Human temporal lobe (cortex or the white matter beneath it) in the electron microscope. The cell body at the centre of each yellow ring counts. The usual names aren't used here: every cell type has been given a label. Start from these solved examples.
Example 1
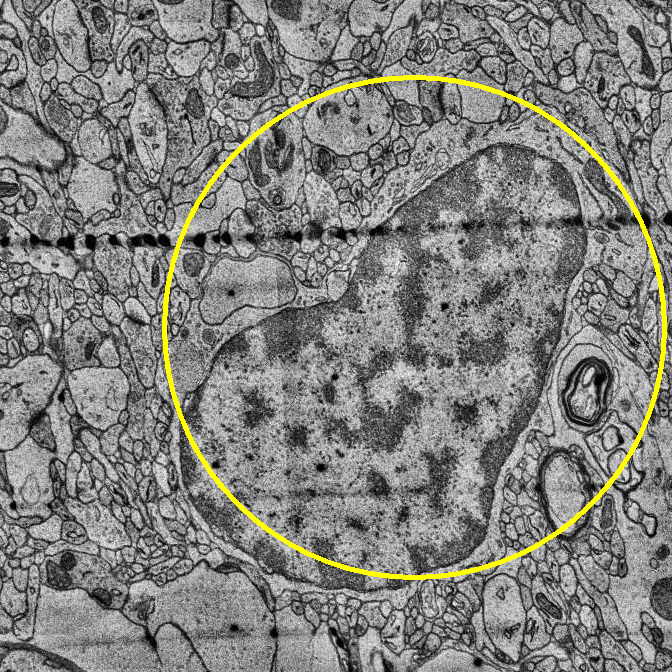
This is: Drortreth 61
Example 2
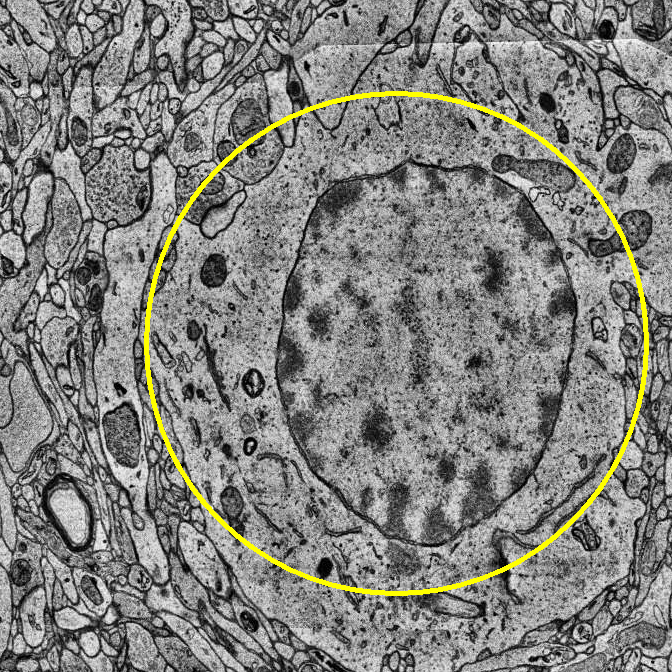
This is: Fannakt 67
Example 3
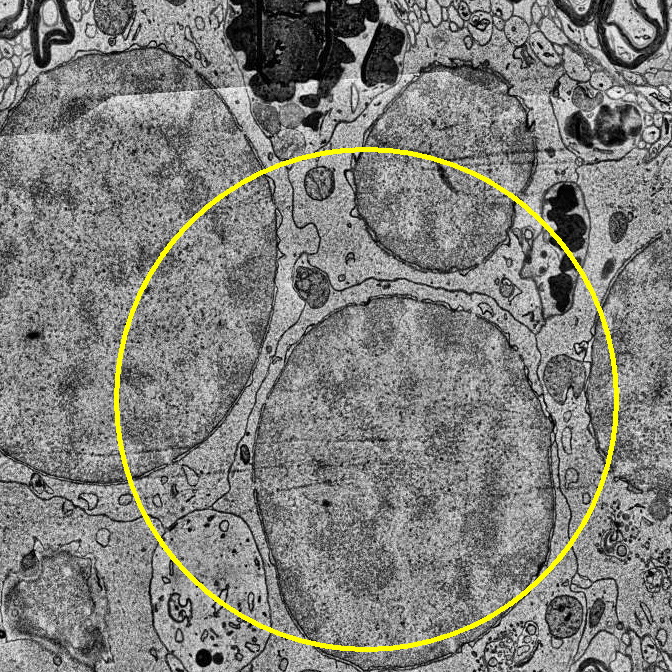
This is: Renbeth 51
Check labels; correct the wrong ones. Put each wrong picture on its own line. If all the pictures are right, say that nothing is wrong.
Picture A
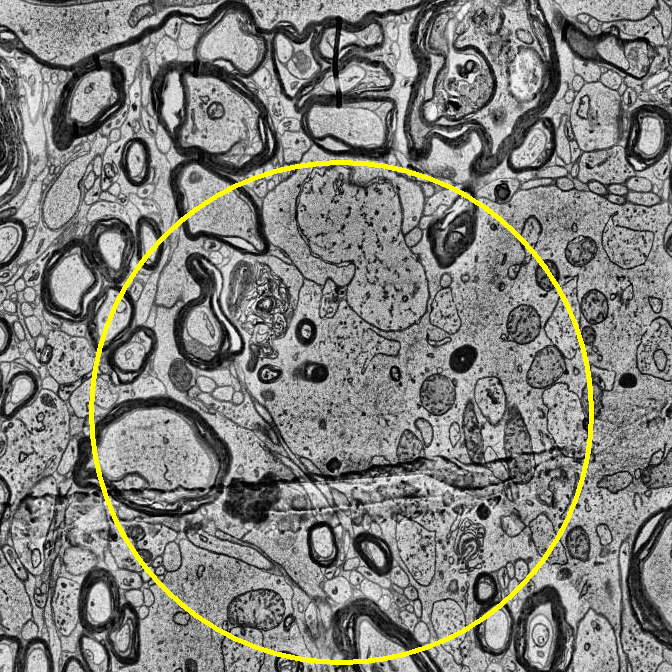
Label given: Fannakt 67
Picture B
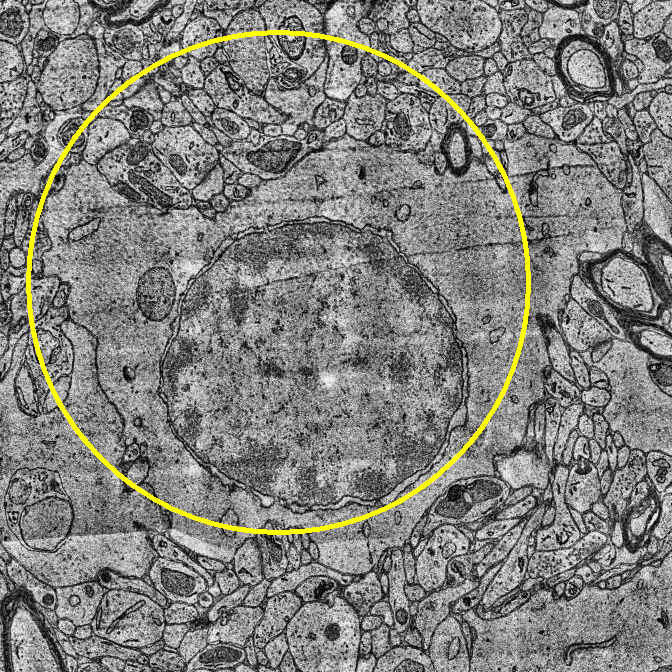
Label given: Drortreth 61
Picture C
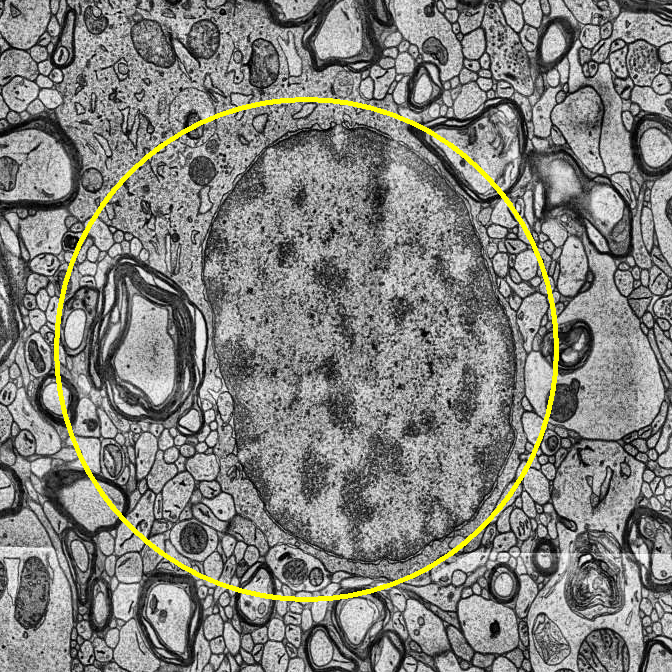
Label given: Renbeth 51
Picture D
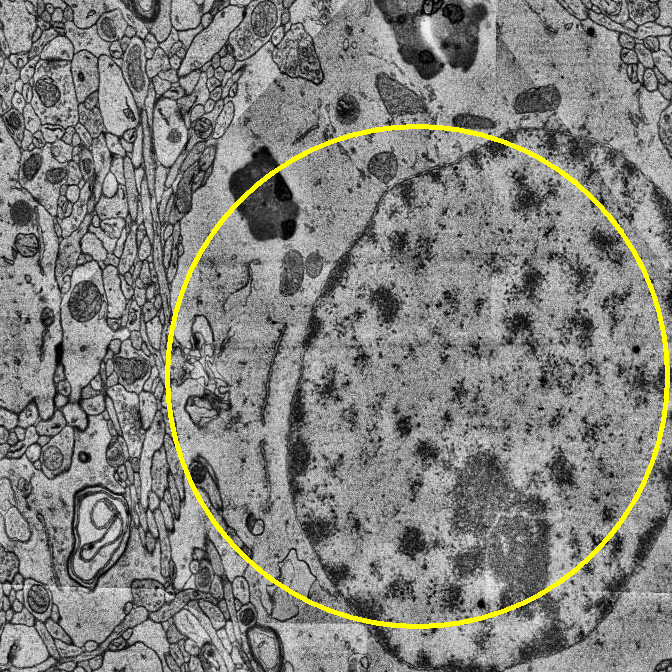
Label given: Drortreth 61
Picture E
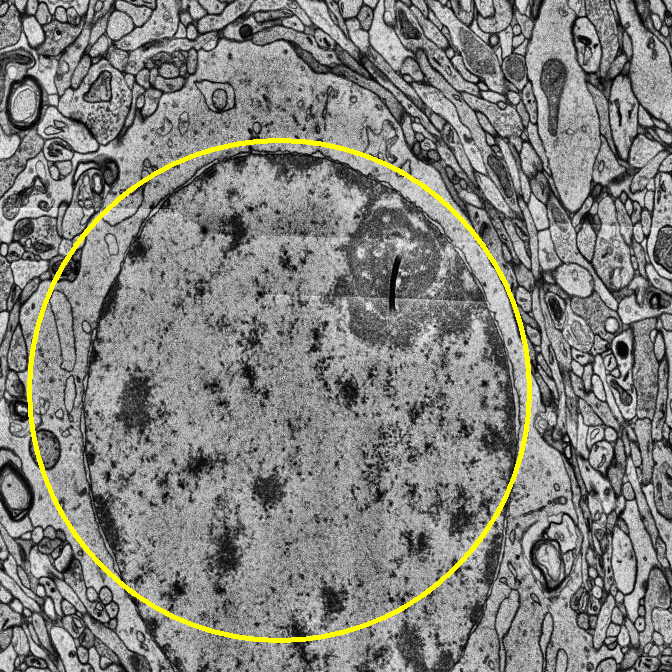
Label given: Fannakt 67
Wrong: B (Drortreth 61); correct: Fannakt 67
Wrong: D (Drortreth 61); correct: Fannakt 67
